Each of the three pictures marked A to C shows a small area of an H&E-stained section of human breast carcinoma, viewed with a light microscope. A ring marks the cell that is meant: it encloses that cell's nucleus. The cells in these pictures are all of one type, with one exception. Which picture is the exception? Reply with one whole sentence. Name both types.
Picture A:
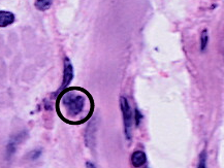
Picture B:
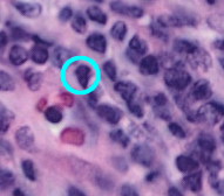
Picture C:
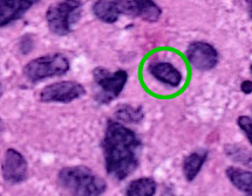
The others show lymphocytes, but picture C shows a carcinoma cell.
